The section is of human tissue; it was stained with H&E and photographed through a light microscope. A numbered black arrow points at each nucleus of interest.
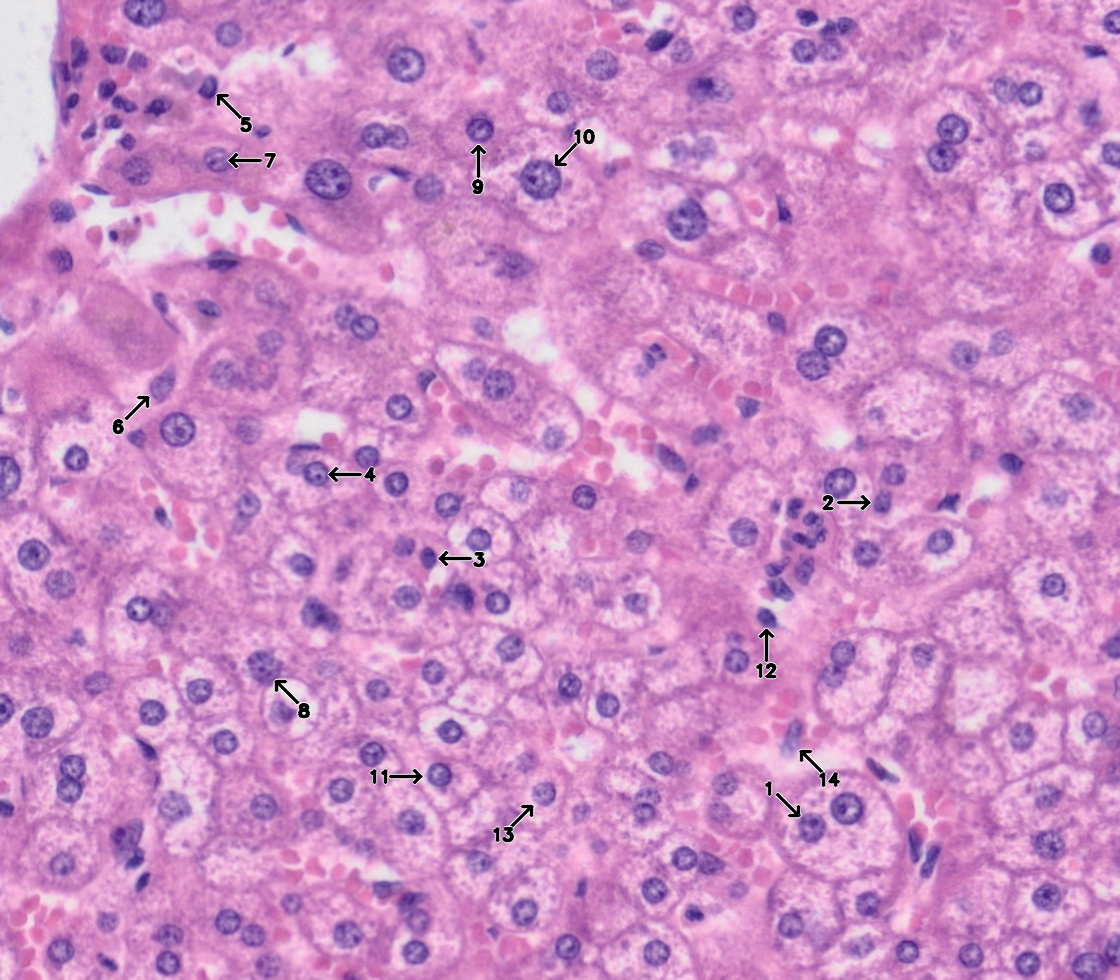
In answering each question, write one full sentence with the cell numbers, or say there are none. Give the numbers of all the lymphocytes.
The cells with labels 3 and 12 are lymphocytes.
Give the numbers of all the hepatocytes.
Cells that were given the numbers 1, 4, 7, 8, 9, 10, 11 and 13 are hepatocytes.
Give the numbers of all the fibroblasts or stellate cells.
There is only one numbered cell that is a fibroblast or stellate cell, and it is cell 5.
